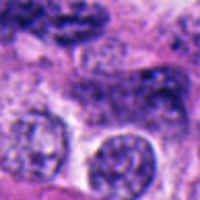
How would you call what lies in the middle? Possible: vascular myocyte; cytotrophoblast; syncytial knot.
I would call it a cytotrophoblast.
